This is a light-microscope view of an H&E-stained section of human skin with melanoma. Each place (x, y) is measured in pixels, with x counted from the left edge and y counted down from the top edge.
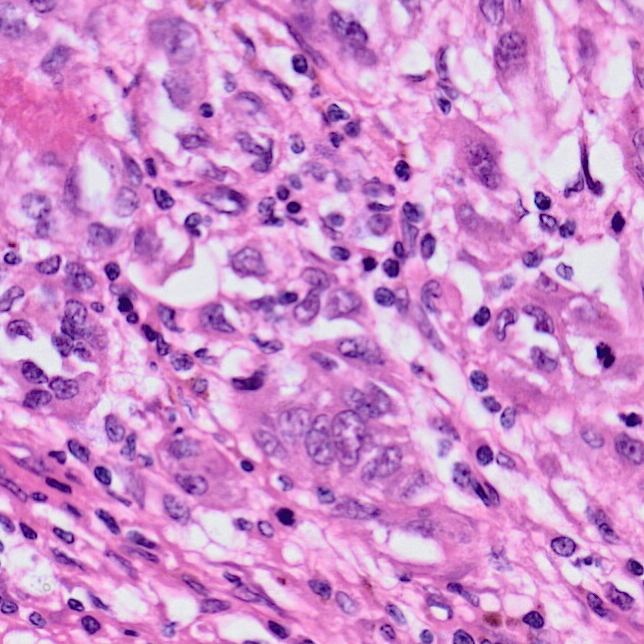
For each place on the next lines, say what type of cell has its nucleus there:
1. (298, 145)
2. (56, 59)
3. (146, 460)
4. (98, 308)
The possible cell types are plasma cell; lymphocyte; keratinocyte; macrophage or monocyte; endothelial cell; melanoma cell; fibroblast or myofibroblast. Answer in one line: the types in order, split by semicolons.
lymphocyte; melanoma cell; lymphocyte; lymphocyte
